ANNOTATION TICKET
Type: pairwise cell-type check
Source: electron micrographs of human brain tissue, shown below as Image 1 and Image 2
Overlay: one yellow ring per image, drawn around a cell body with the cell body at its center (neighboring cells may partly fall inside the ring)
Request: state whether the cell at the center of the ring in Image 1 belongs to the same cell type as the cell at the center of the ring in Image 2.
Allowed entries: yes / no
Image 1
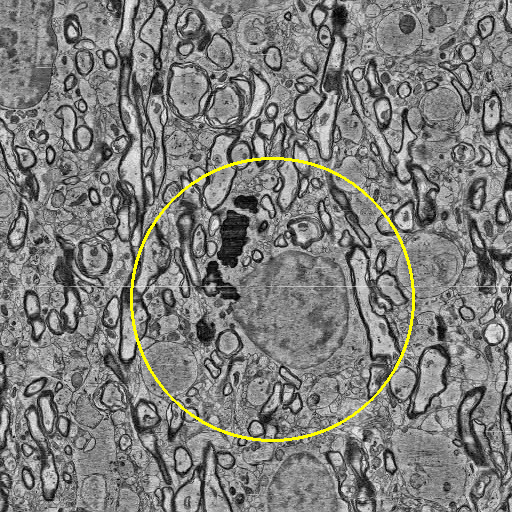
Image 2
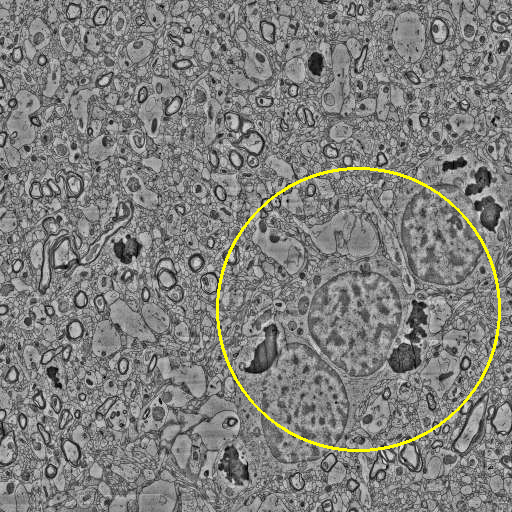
yes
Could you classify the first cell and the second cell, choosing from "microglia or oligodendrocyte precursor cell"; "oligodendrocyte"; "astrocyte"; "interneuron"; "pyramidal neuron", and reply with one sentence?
In the first picture and in the second, the ring is centred on an oligodendrocyte.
